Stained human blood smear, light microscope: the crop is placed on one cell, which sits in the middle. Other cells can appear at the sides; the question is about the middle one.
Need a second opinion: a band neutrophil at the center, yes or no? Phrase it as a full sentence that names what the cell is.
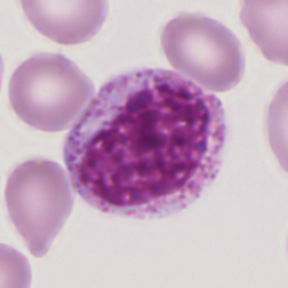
No, the cell in the middle is not a band neutrophil but a metamyelocyte.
